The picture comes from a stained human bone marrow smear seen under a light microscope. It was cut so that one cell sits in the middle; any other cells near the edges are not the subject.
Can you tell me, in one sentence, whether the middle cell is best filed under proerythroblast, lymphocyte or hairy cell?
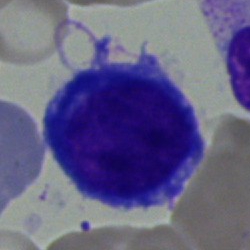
For this crop, the central cell is a proerythroblast.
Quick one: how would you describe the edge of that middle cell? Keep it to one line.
Irregularity marks the cell border, whether as raggedness or as projections.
